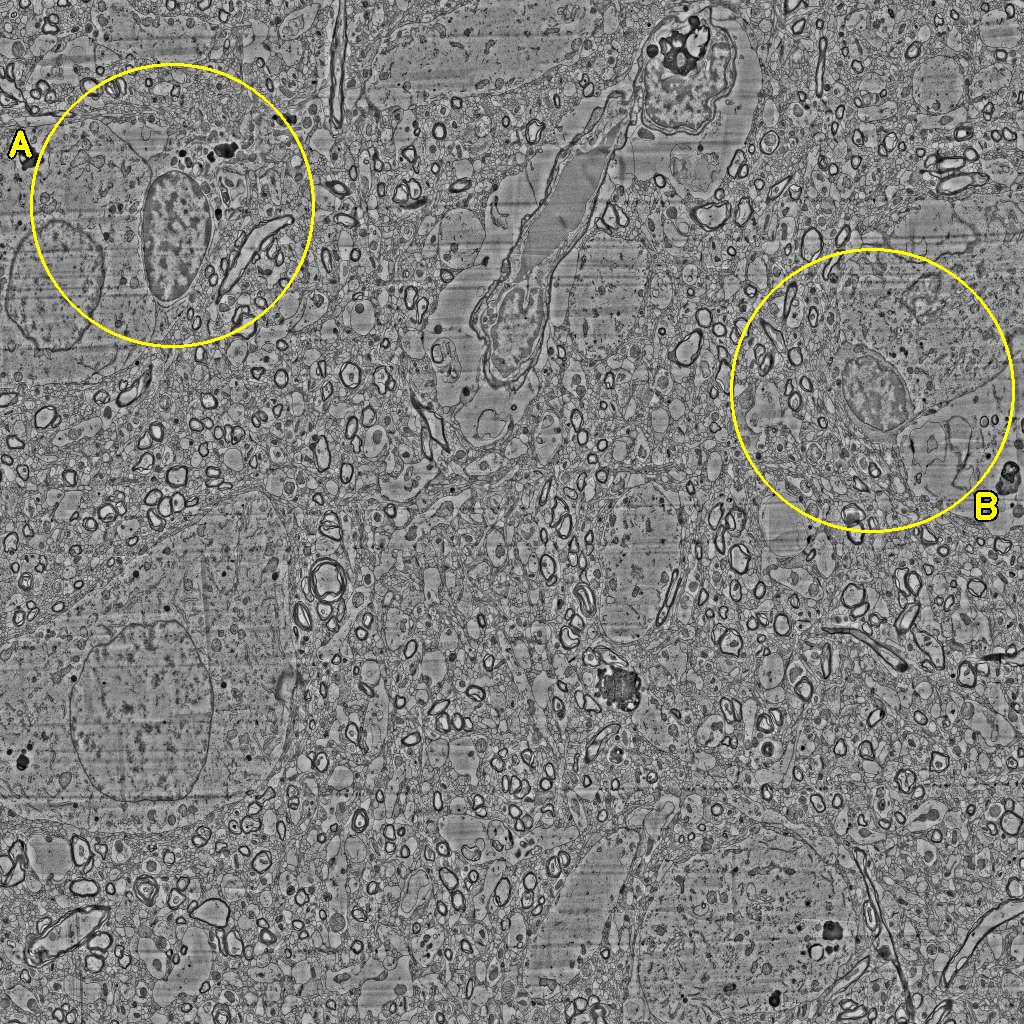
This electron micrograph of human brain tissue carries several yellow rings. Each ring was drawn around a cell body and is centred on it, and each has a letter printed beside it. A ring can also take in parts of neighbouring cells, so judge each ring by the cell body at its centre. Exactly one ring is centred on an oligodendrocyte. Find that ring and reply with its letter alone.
B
